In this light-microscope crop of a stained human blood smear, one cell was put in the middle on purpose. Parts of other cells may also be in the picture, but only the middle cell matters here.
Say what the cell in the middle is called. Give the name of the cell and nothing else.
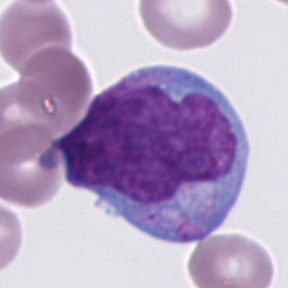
atypical promyelocyte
